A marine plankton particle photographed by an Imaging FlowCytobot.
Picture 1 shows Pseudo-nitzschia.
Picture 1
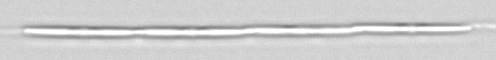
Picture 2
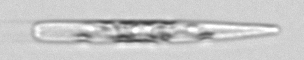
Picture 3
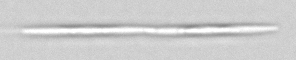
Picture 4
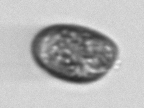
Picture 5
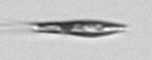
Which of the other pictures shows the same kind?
Picture 3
